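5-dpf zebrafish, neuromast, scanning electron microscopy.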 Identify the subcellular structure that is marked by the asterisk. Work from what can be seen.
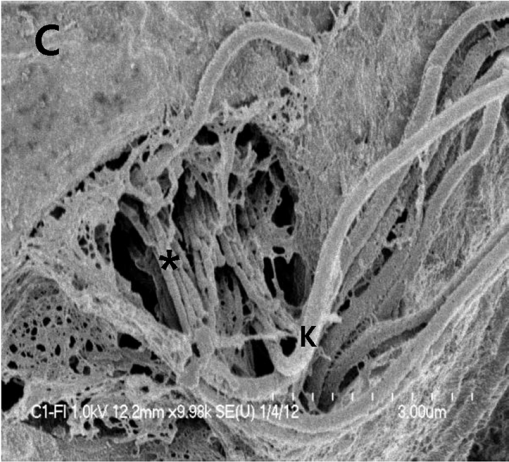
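Stereocilia bundles. The asterisk lies on a group of closely packed, parallel rod-like projections. The bundle sits in an opening of the surface with a long thicker filament running past it.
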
